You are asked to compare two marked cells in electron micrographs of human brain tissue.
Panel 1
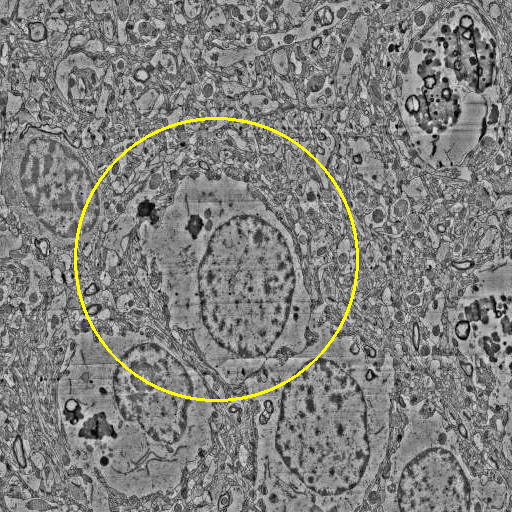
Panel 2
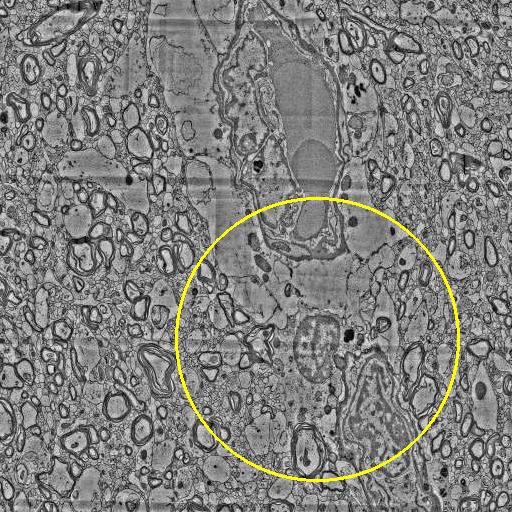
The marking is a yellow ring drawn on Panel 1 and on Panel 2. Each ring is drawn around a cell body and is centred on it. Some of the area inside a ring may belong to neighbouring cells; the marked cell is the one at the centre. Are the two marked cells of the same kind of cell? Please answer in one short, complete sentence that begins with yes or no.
No, the two marked cells are of two kinds.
